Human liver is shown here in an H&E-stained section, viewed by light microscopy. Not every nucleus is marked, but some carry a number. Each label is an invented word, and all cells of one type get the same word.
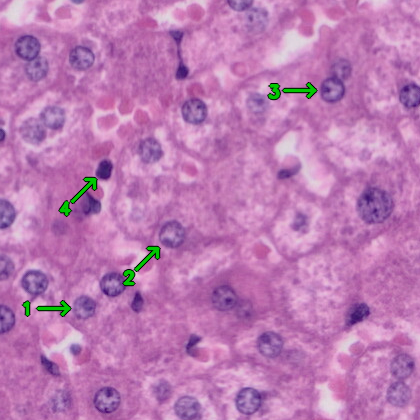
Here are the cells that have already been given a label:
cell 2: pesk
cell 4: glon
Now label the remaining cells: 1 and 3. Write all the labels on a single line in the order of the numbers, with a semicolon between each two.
pesk; pesk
